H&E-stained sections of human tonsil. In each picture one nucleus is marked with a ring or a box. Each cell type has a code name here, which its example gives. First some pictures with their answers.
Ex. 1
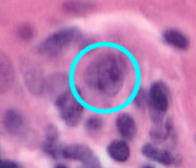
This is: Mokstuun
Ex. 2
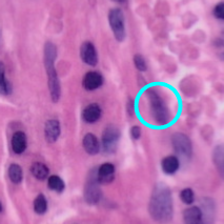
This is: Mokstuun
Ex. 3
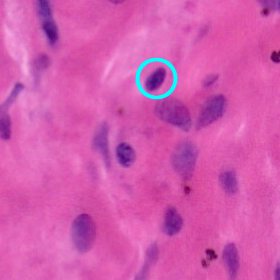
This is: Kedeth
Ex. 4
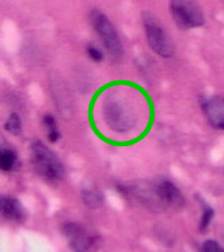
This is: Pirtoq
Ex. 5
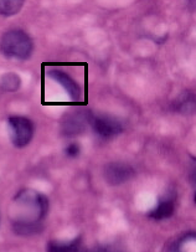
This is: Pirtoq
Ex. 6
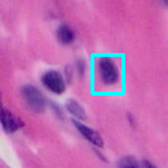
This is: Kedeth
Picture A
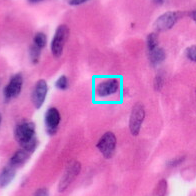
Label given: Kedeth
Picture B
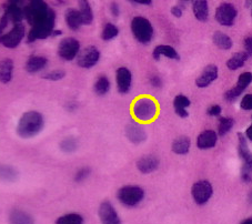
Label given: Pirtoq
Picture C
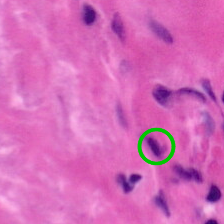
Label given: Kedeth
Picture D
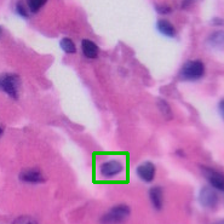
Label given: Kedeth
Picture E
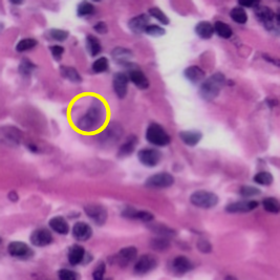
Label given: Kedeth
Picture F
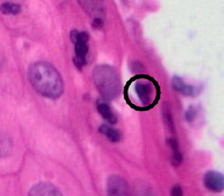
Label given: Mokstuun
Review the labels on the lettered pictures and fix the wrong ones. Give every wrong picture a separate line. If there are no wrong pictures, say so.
Wrong: E (Kedeth); correct: Mokstuun
Wrong: F (Mokstuun); correct: Pirtoq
